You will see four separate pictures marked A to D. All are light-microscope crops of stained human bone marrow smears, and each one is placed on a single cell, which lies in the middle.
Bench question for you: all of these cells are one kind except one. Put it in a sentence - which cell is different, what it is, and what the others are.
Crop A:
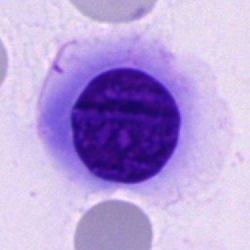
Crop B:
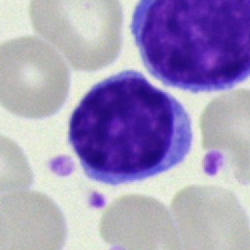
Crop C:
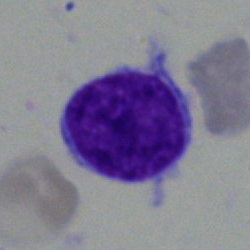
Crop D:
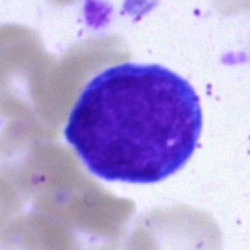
Crop A stands apart as a normoblast, whereas the remaining crops all show lymphocytes.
